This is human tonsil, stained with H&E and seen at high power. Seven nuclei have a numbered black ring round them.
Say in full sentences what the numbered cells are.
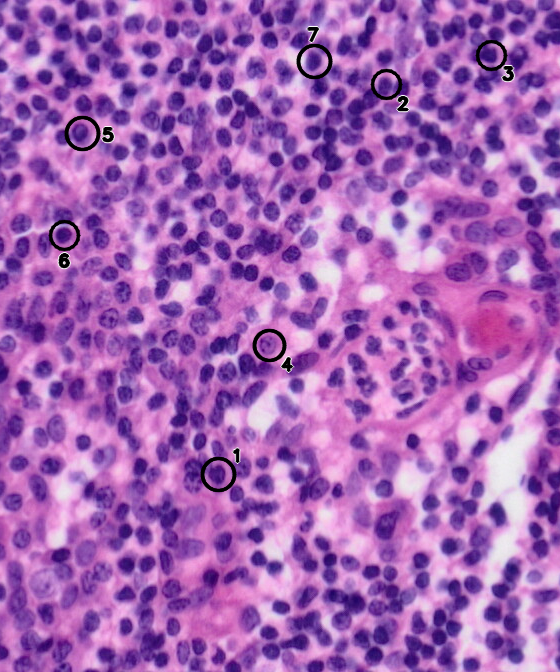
Cells 1, 4, 5 and 6 are plasma cells. Cells 2, 3 and 7 are small lymphocytes.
